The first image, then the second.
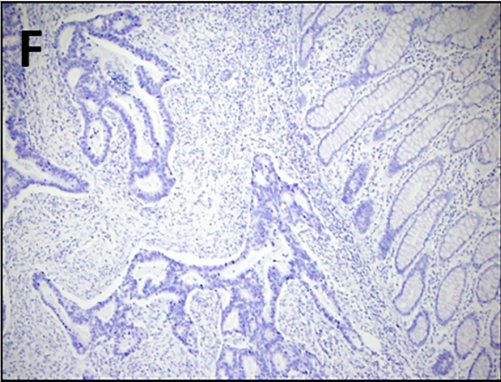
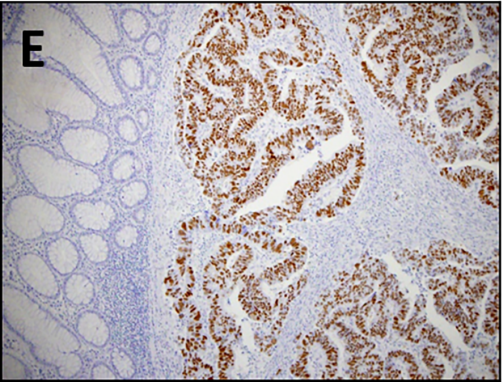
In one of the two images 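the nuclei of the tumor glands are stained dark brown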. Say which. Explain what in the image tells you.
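The second image. First image: the tumor glands have only blue nuclei. Second image: the tumor gland nuclei are densely dark brown.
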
